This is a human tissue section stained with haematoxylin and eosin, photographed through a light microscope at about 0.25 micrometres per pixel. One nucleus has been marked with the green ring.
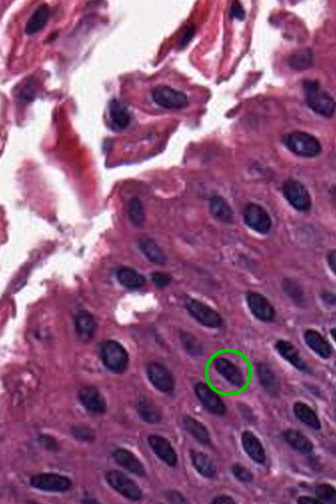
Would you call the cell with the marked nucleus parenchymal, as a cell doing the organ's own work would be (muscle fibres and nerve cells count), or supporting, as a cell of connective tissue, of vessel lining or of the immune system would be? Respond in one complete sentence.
The parenchymal cell that owns the marked nucleus is a squamous epithelial cell.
